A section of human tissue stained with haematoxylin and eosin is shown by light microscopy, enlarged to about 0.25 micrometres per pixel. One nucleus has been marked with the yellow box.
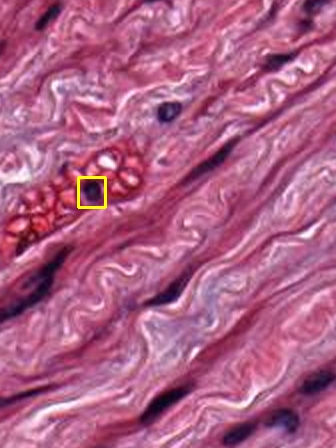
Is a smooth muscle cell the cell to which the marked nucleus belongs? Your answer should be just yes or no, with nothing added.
no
